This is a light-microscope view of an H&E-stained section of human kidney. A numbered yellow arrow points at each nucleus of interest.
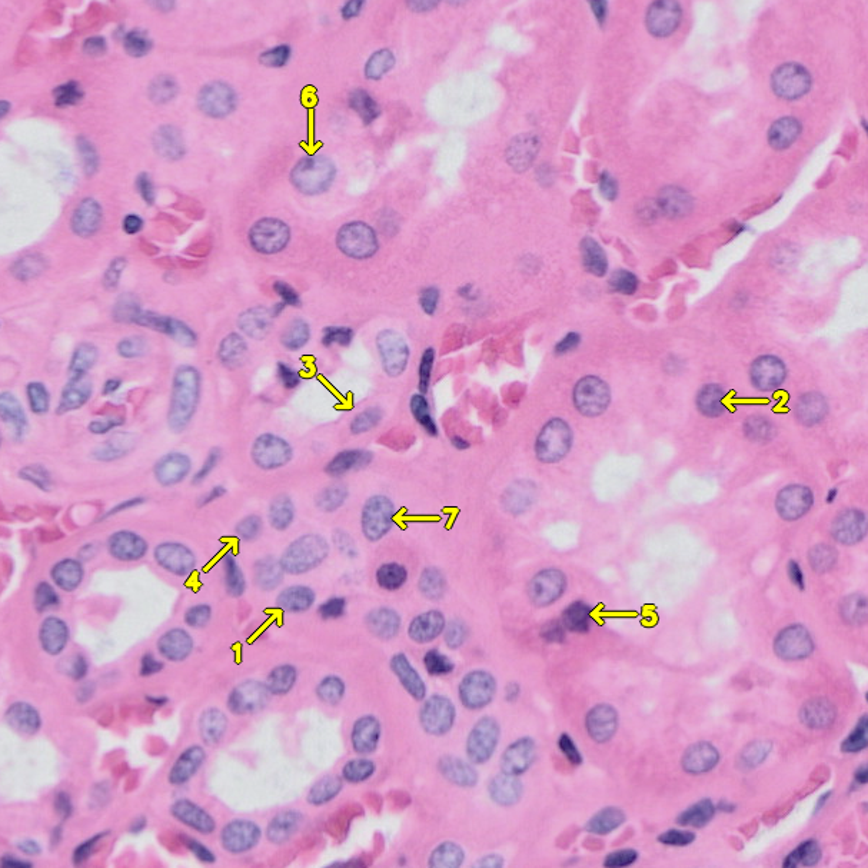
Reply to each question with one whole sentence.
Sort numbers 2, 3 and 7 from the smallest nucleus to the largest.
From smallest to largest, the order is 3, 2, 7.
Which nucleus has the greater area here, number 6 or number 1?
The larger nucleus is 6, at roughly 1.5 times the area of 1.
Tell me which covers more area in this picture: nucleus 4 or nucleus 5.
Nucleus 5 is larger, with an area about 1.5 times that of nucleus 4.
